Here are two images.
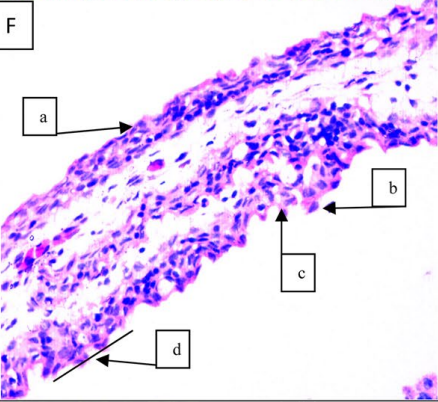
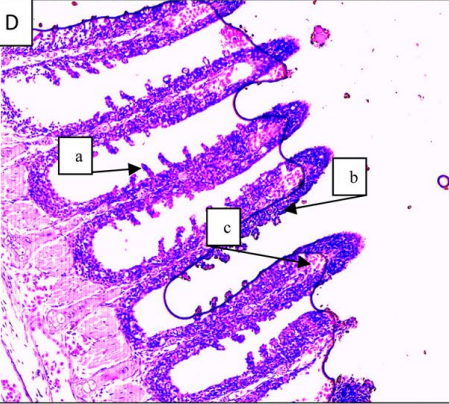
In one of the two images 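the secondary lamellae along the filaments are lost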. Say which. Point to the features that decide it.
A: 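The first image. First image: a thin, ragged strip of tissue without regular side projections.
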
